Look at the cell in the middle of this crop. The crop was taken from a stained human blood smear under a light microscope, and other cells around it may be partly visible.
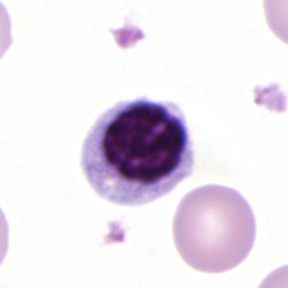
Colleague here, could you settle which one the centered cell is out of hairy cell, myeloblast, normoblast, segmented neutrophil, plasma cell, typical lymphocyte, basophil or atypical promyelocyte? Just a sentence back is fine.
As for the cell in the middle, it is a normoblast.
